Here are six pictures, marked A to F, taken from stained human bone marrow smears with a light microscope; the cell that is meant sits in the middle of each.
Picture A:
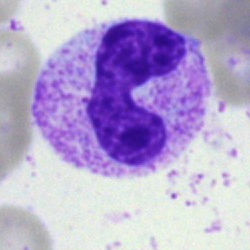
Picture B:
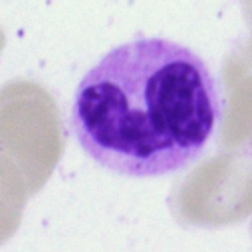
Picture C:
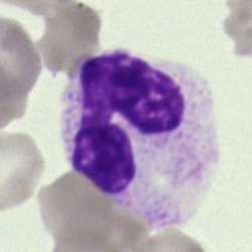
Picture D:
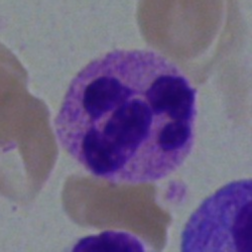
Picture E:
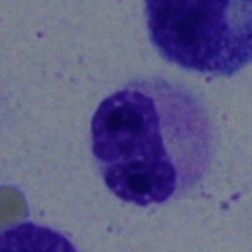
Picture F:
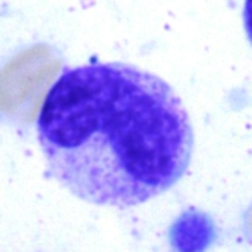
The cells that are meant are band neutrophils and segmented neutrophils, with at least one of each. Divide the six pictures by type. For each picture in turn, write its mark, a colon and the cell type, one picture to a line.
A: band neutrophil
B: segmented neutrophil
C: segmented neutrophil
D: segmented neutrophil
E: segmented neutrophil
F: band neutrophil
